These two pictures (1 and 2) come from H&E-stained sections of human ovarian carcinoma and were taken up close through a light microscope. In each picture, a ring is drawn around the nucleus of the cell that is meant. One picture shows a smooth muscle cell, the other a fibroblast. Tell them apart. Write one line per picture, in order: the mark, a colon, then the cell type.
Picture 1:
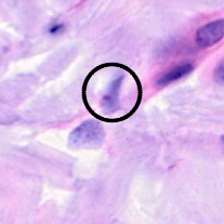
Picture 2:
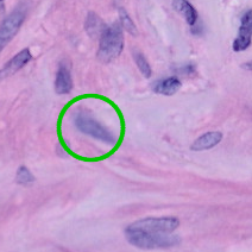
1: fibroblast
2: smooth muscle cell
